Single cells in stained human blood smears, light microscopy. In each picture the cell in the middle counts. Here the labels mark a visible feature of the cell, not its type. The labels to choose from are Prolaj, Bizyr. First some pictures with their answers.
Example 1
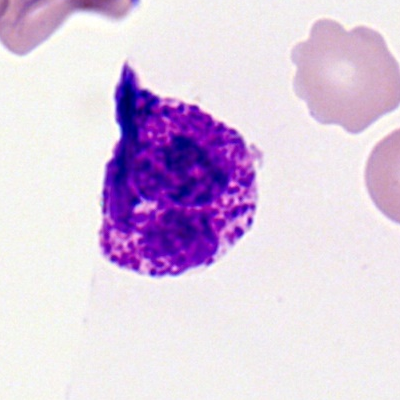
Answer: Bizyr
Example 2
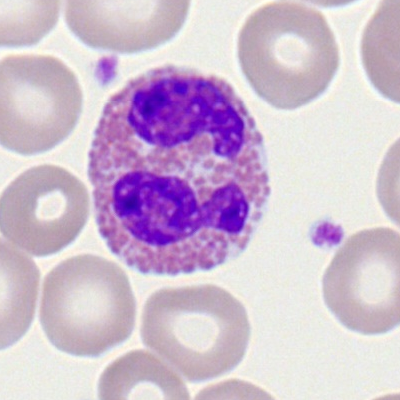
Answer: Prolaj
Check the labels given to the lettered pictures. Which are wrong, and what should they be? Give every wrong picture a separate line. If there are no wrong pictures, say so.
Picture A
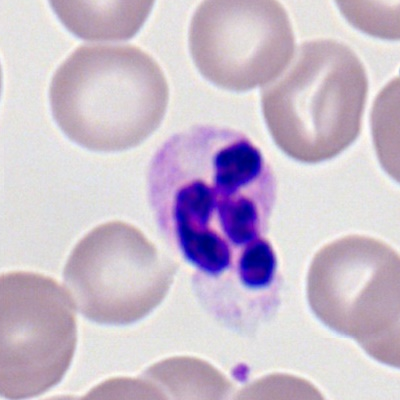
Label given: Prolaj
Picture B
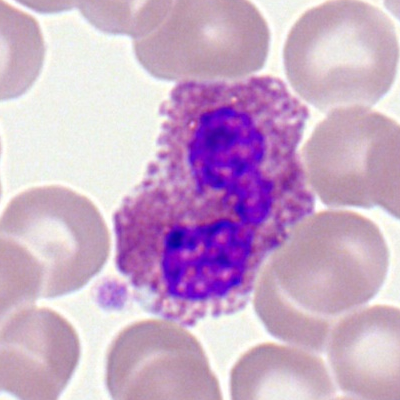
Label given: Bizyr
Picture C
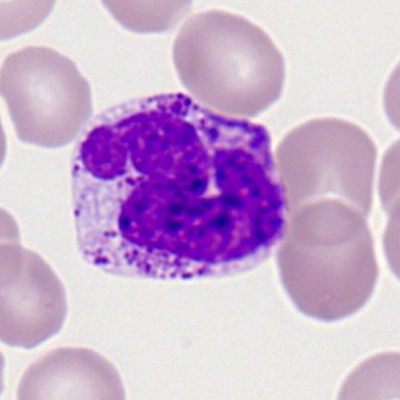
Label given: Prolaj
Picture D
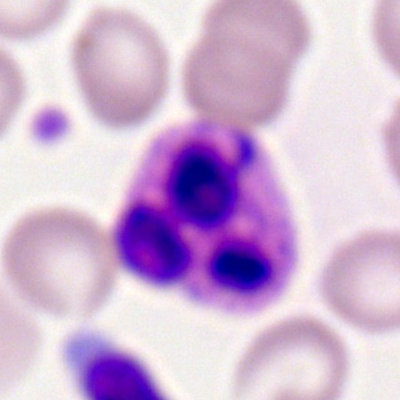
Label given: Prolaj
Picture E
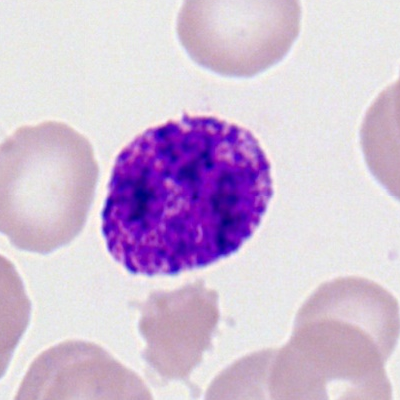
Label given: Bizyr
A: not Prolaj but Bizyr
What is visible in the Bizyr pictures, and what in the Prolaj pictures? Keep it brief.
Bizyr, ragged outline or projections; Prolaj, smooth outline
